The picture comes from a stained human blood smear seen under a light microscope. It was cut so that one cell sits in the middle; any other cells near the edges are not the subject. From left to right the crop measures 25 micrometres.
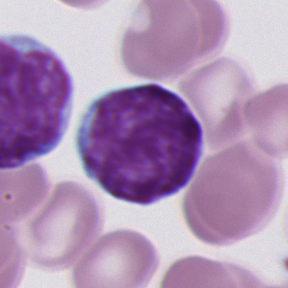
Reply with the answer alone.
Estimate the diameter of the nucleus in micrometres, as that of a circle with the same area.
10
